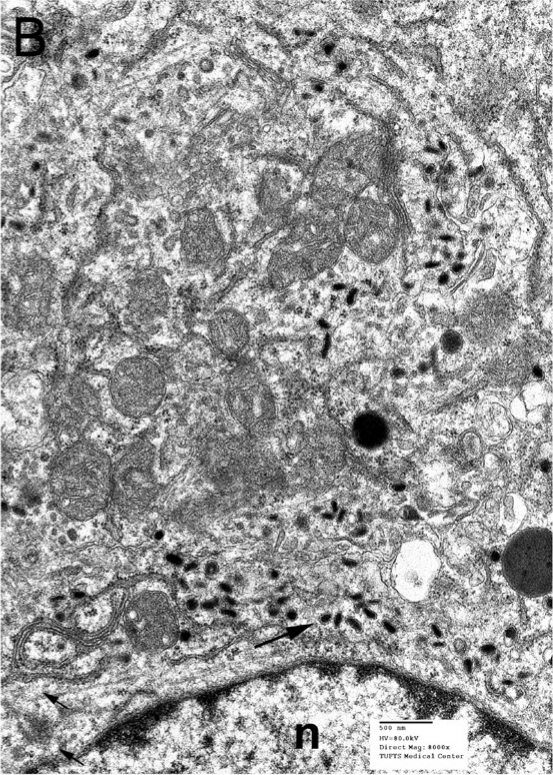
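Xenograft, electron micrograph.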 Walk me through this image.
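Cytoplasm of a tumour cell beside its nucleus, whose dark chromatin lines the nuclear envelope at the bottom. Many small electron-dense secretory granules, round to rod-shaped, are scattered through the cytoplasm and gather near the nucleus. A cluster of mitochondria with indistinct cristae occupies the centre, among rough endoplasmic reticulum and membrane profiles. A few larger round dense bodies lie at the right. Large pale cytoplasmic vacuoles are not seen.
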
